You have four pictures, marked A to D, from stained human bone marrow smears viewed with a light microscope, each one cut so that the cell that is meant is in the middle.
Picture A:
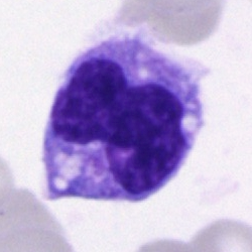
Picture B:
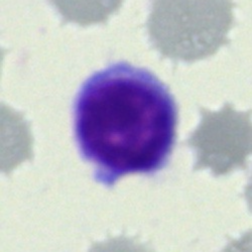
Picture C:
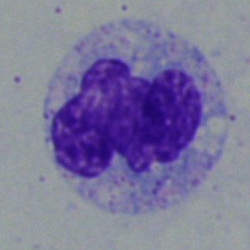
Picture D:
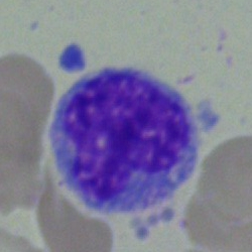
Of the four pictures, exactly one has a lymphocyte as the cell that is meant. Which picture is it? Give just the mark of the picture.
B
